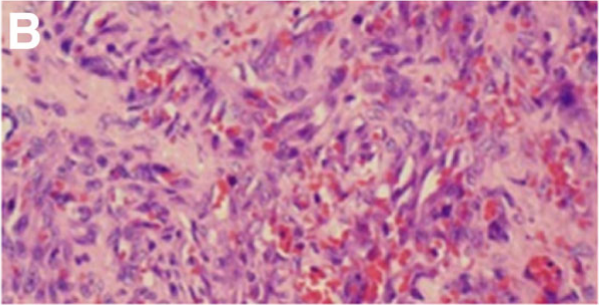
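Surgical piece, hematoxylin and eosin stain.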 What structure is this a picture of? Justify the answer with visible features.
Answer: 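Narrow curved spaces between spindle cells. Red blood cells lie within these slit-like spaces.
Crescent-like vascular slits.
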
